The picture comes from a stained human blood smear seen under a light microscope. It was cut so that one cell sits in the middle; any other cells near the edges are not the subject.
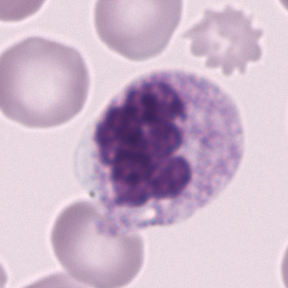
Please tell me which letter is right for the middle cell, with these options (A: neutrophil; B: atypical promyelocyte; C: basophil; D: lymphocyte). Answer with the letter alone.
A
